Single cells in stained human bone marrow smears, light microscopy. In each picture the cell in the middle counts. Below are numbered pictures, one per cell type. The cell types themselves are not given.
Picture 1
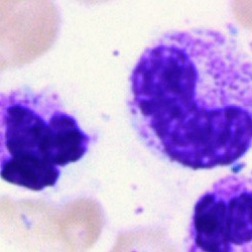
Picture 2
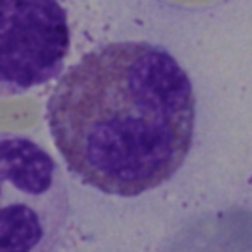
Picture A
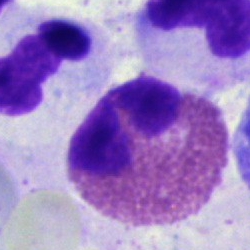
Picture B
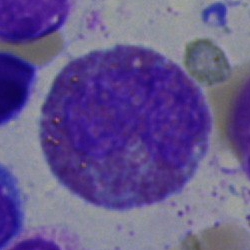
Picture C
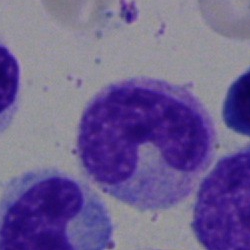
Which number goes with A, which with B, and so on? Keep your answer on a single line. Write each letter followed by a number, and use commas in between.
A 2, B 2, C 1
